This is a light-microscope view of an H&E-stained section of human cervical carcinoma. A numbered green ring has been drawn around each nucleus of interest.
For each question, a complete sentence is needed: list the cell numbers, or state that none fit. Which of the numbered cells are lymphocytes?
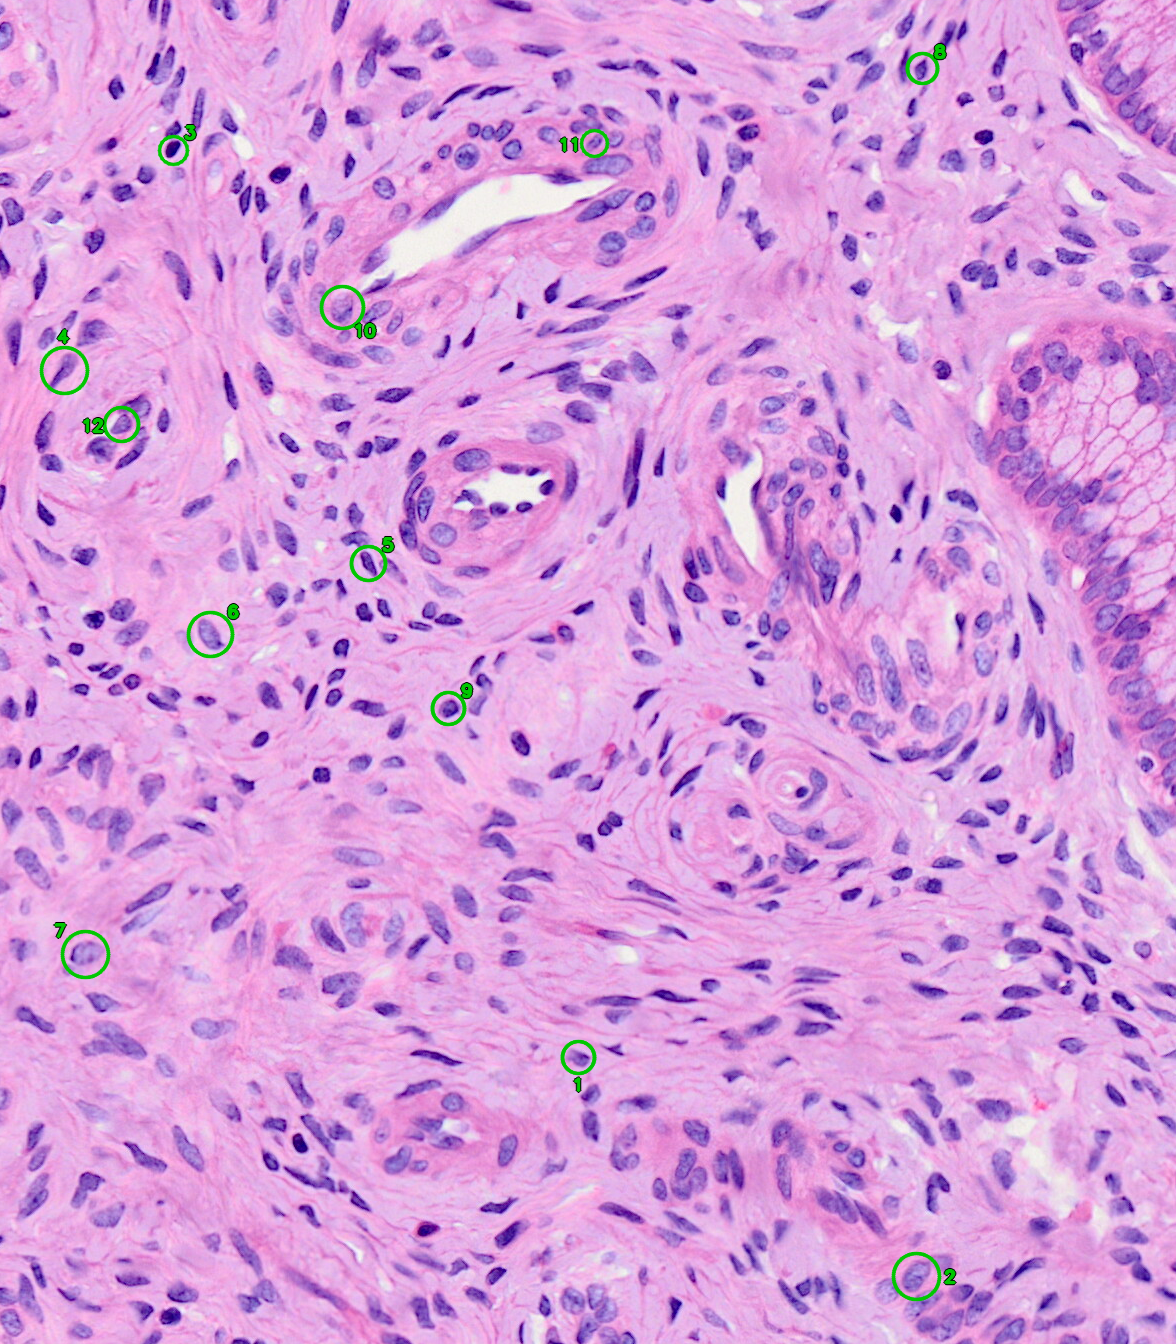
Only one of the numbered nuclei, number 3, belongs to a lymphocyte.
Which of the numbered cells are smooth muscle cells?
By cell type, the cells numbered 2, 10 and 11 are smooth muscle cells.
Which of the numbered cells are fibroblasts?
The cells that the numbers 1, 4, 5, 6, 7, 8 and 9 belong to are fibroblasts.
